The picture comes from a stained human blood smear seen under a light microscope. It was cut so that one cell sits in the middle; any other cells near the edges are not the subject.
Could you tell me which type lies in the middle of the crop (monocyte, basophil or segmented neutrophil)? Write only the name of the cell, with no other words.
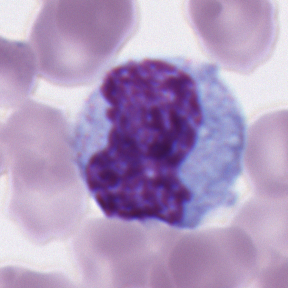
monocyte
